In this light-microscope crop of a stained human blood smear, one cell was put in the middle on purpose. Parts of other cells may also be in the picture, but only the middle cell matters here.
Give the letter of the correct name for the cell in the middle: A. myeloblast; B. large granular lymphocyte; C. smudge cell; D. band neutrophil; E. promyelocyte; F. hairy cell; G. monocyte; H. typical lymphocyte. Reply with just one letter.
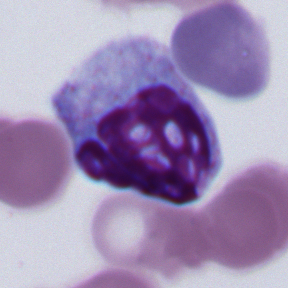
G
